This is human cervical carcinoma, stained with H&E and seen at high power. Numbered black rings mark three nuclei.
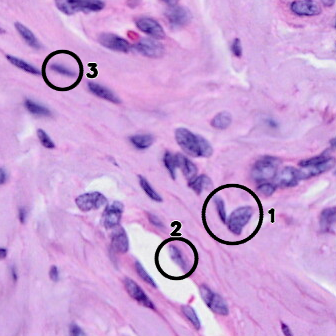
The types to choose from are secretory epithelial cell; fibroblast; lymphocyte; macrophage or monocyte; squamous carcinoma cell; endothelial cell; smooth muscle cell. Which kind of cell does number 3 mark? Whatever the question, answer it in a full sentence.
Heads up, the cell numbered 3 is a fibroblast.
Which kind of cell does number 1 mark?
Denoted by the label 1 in the section is a fibroblast.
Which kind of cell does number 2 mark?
The correct answer for cell 2 is an endothelial cell.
